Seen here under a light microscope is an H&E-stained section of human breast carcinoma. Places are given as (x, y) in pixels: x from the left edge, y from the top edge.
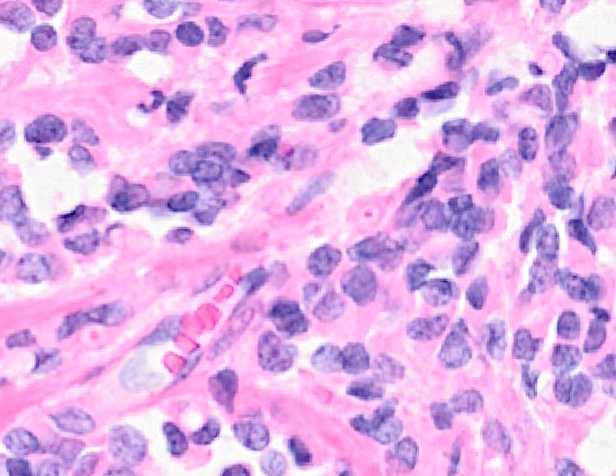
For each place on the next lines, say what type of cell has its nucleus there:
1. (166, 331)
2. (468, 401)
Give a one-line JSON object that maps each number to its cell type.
{"1": "endothelial cell", "2": "carcinoma cell"}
